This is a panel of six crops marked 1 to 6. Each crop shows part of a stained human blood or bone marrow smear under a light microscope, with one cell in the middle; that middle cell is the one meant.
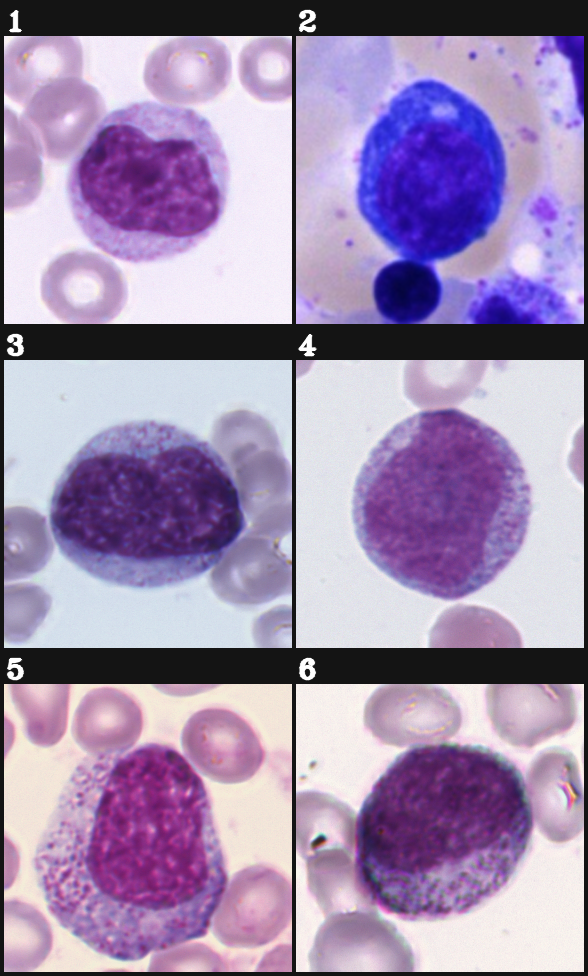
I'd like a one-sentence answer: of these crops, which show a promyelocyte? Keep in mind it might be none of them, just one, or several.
The centrally placed cells in crops 3, 4, 5 and 6 are promyelocytes.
